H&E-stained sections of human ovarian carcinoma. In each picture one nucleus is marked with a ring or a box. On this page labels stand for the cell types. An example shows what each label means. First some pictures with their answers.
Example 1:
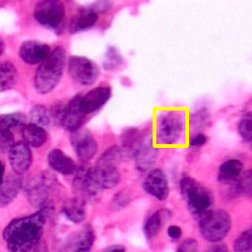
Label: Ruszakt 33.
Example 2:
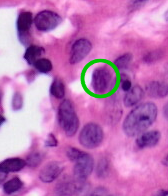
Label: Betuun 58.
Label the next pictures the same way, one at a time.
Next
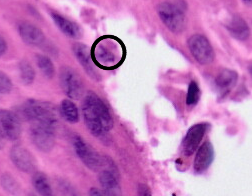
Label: Ruszakt 33.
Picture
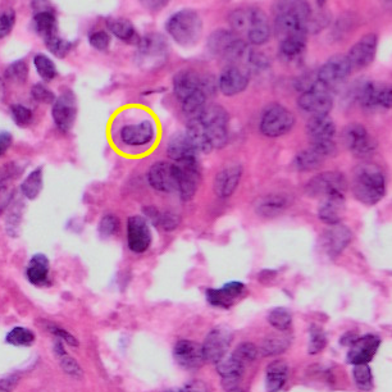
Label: Ruszakt 33.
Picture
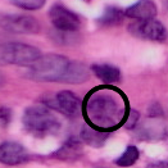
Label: Betuun 58.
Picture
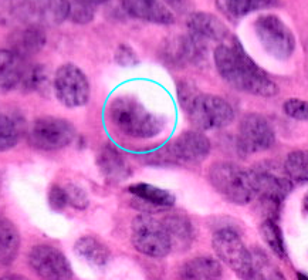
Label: Betuun 58.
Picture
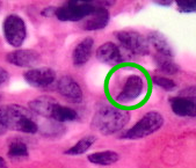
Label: Betuun 58.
